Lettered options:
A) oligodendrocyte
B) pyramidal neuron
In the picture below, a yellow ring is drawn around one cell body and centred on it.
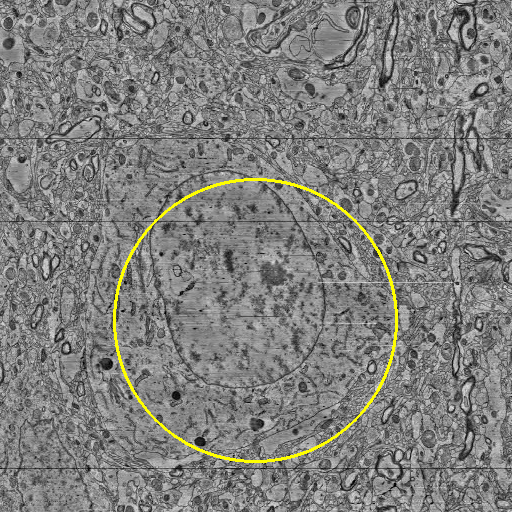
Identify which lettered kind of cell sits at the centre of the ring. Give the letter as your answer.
B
